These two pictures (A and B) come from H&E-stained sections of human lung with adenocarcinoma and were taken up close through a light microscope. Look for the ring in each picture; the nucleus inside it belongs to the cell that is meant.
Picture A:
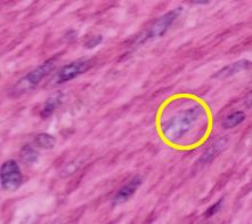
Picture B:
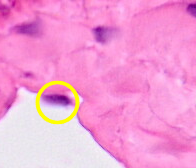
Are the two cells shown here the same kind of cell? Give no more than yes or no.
no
